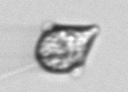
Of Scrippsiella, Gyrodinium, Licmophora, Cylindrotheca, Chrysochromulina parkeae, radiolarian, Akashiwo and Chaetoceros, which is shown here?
Scrippsiella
